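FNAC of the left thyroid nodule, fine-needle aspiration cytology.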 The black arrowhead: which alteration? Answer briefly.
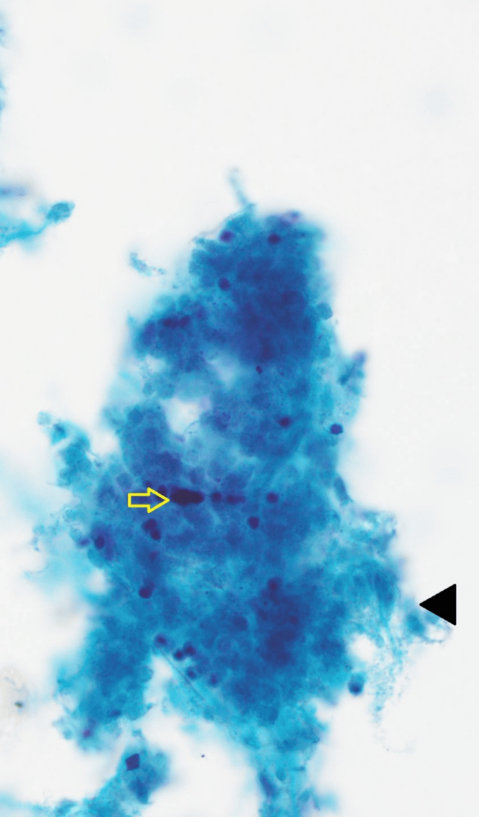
Lesional cell necrosis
